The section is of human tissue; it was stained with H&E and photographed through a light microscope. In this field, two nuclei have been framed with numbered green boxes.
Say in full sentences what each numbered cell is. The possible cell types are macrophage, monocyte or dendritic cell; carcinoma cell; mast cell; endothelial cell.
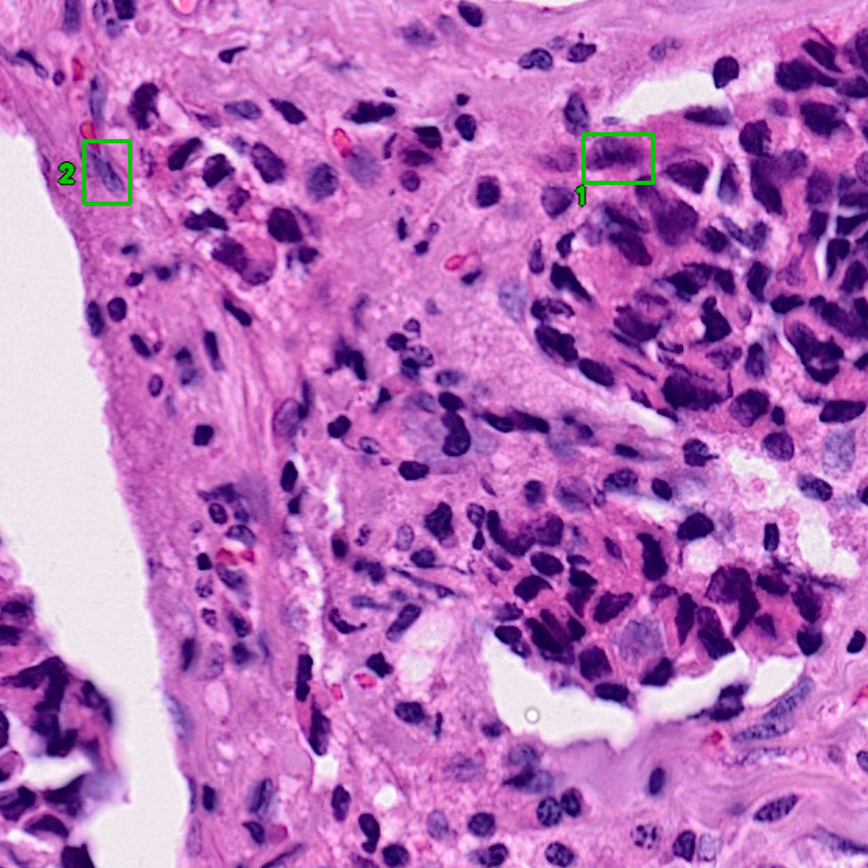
Cell 1 is a carcinoma cell and cell 2 is an endothelial cell.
